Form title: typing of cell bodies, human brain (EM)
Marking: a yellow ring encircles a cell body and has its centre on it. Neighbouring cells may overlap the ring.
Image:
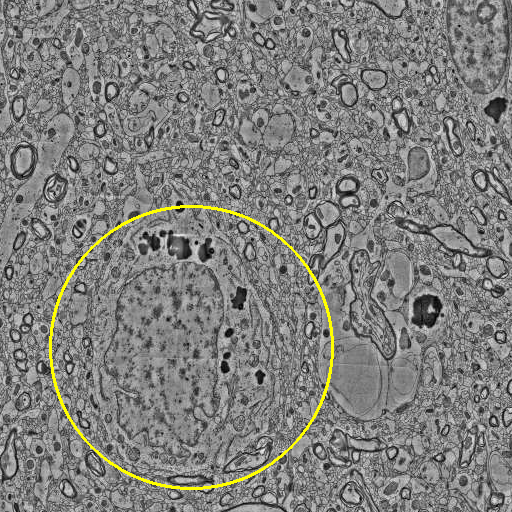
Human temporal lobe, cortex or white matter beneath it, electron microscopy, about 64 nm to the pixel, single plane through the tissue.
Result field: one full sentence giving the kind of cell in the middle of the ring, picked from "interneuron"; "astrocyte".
In the picture, the ring is centred on an interneuron, whose cell body it encircles.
